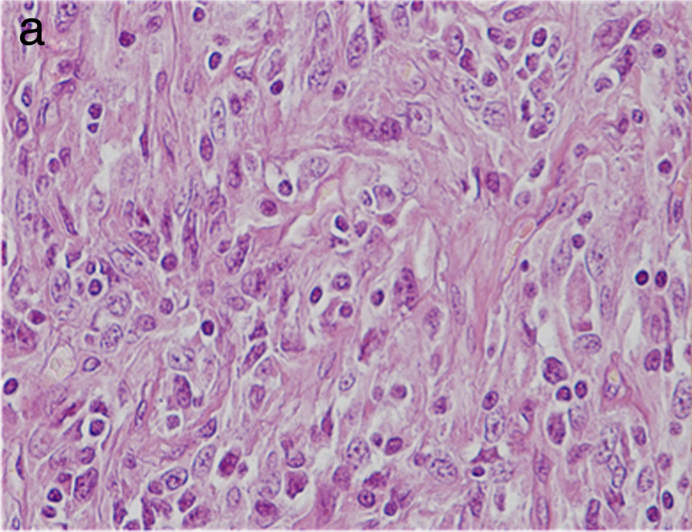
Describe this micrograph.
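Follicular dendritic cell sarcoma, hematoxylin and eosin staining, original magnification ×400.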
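This is a tumor made of large spindle-shaped and ovoid cells with pink, ill-defined cytoplasm, arranged in loose streaming fascicles and swirls within a pink fibrillary background. Their nuclei are elongated to oval, with pale, open chromatin and visible nucleoli, and some show irregular contours. Scattered throughout, between the tumor cells, are many small lymphocytes with dense, dark, round nuclei and little cytoplasm, some surrounded by a clear halo. The contrast between the large pale-nucleated tumor cells and the small dark lymphocytes is striking, and the tumor cells lack a clear gland-forming or layered arrangement.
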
